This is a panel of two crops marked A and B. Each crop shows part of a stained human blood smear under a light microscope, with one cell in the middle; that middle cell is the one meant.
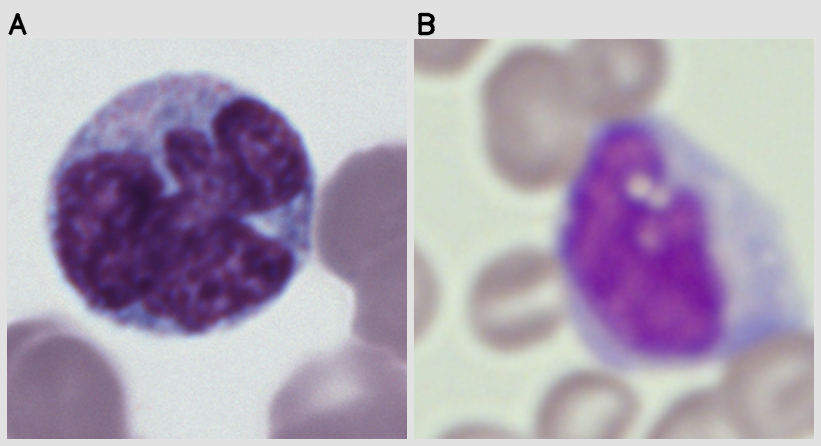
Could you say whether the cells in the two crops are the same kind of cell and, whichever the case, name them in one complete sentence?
Yes, the cells of interest in both crops are monocytes.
